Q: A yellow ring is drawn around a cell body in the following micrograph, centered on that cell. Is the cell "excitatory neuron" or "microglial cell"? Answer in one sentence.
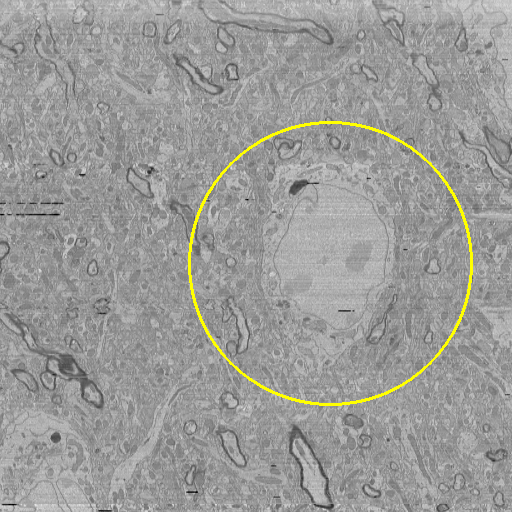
The cell in the center of the ring is an excitatory neuron.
